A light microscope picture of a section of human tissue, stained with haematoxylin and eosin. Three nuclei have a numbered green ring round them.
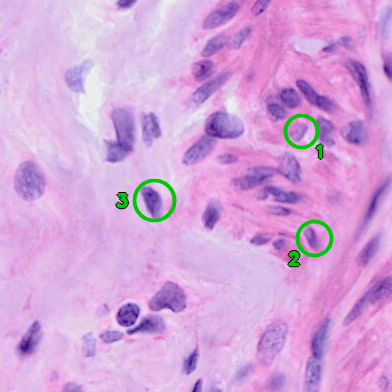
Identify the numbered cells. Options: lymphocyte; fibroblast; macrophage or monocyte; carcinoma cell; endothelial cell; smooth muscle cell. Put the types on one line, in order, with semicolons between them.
smooth muscle cell; smooth muscle cell; fibroblast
